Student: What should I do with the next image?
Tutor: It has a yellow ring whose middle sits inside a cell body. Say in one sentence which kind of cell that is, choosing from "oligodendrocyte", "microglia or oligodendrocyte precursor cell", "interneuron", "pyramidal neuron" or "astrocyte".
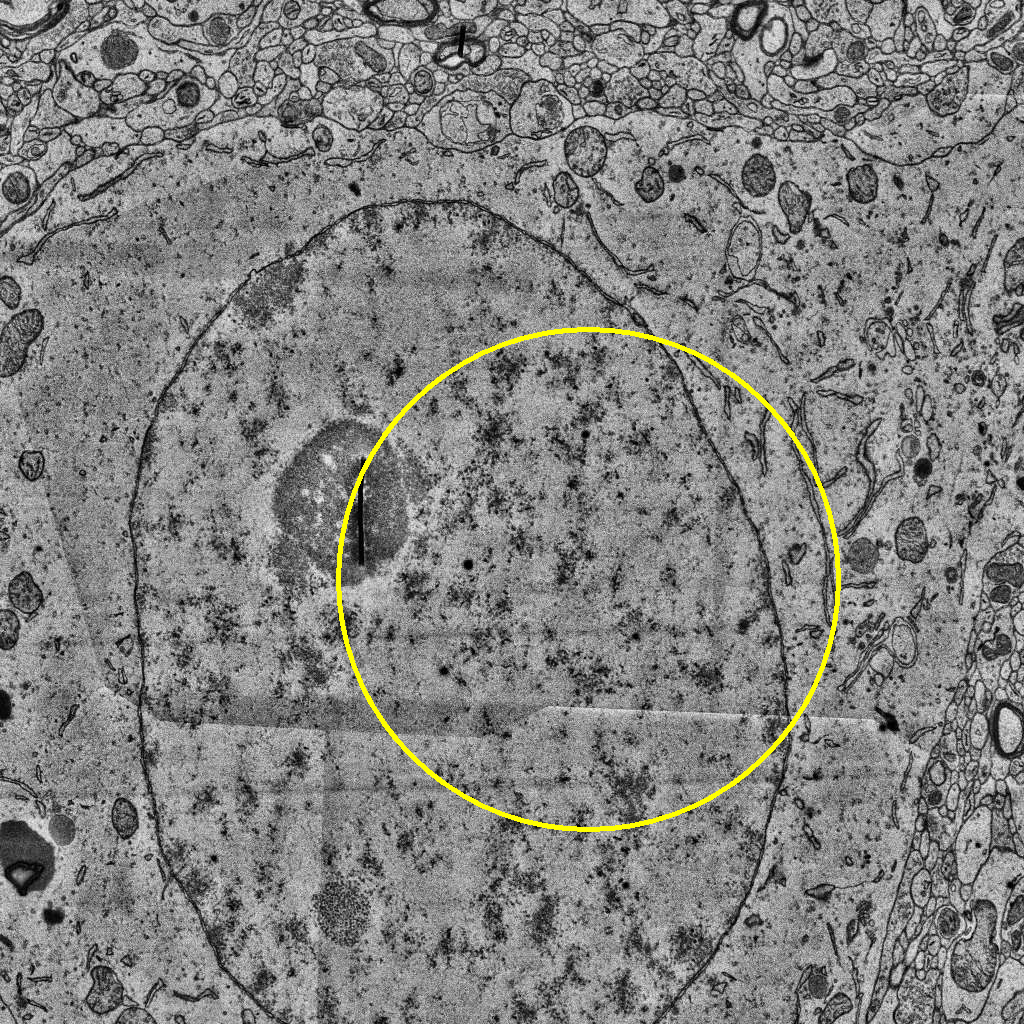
The ring's centre is occupied by a pyramidal neuron.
